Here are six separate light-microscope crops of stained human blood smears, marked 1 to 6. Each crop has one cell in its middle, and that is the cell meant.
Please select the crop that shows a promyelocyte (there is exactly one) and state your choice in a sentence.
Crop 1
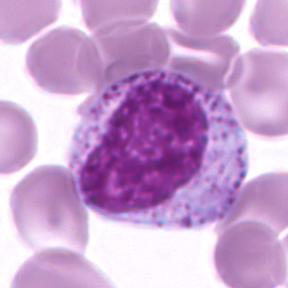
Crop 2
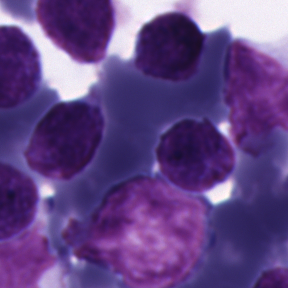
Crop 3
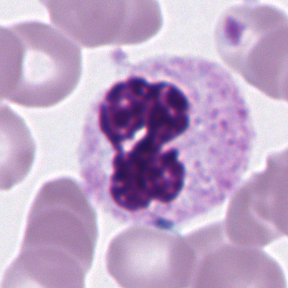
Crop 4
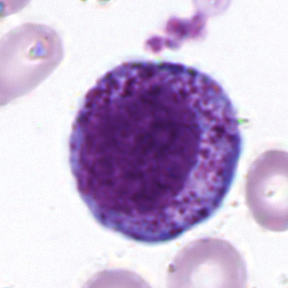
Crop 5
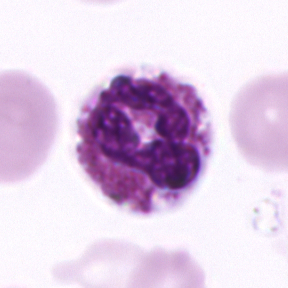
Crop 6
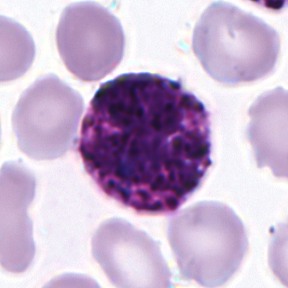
It is the cell in crop 4 that is a promyelocyte.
